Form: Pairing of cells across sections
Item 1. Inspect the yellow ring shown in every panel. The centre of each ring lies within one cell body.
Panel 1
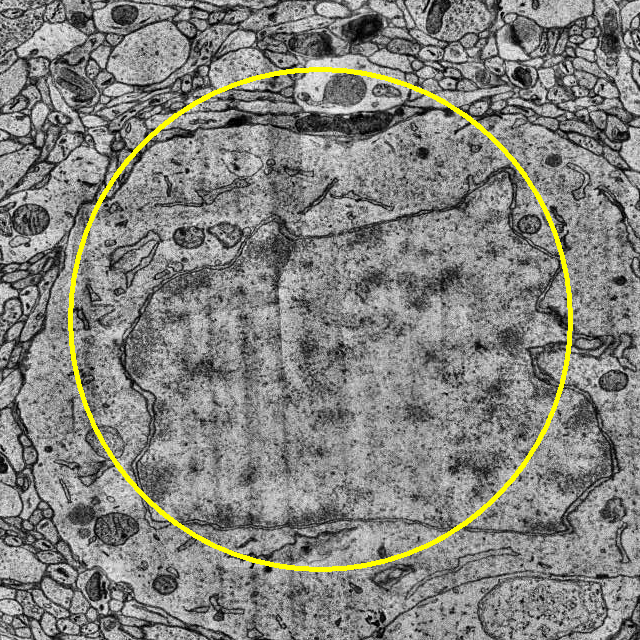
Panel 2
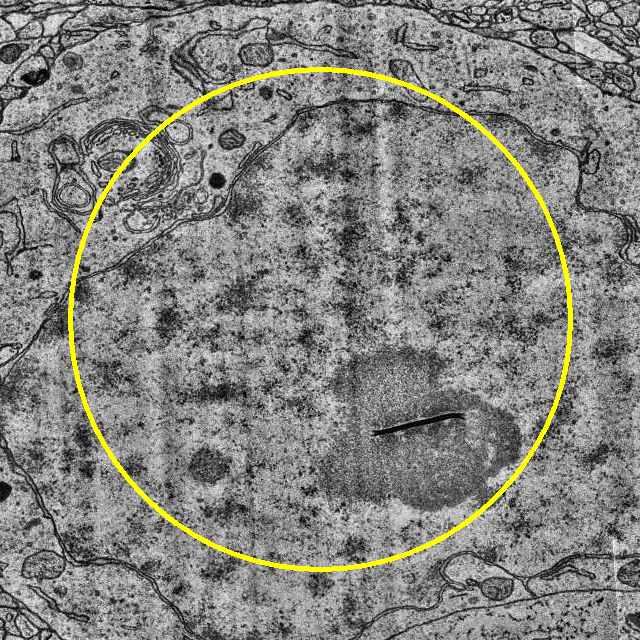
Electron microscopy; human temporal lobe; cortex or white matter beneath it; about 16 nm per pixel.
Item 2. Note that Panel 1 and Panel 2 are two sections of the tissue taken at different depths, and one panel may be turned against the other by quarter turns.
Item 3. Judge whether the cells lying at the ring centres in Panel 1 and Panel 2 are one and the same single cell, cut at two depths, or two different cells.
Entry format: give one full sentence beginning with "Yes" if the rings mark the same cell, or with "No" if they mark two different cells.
Yes, both circles in yellow pick out the same cell.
